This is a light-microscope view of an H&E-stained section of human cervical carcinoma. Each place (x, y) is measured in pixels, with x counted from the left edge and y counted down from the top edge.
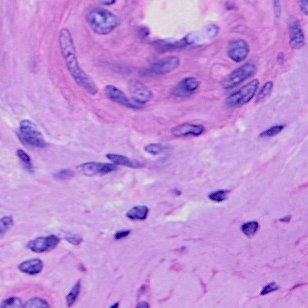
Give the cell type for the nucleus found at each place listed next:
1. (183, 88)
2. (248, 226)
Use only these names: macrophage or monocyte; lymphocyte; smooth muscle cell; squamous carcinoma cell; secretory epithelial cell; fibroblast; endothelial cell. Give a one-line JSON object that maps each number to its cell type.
{"1": "smooth muscle cell", "2": "fibroblast"}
